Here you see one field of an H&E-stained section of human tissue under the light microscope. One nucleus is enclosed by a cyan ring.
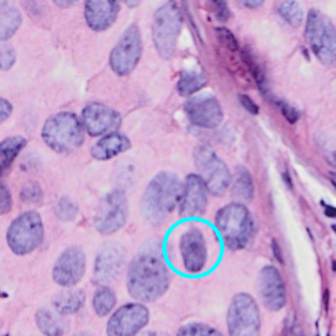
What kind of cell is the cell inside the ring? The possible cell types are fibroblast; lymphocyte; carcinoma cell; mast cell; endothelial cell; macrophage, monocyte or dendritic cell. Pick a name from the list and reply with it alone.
carcinoma cell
